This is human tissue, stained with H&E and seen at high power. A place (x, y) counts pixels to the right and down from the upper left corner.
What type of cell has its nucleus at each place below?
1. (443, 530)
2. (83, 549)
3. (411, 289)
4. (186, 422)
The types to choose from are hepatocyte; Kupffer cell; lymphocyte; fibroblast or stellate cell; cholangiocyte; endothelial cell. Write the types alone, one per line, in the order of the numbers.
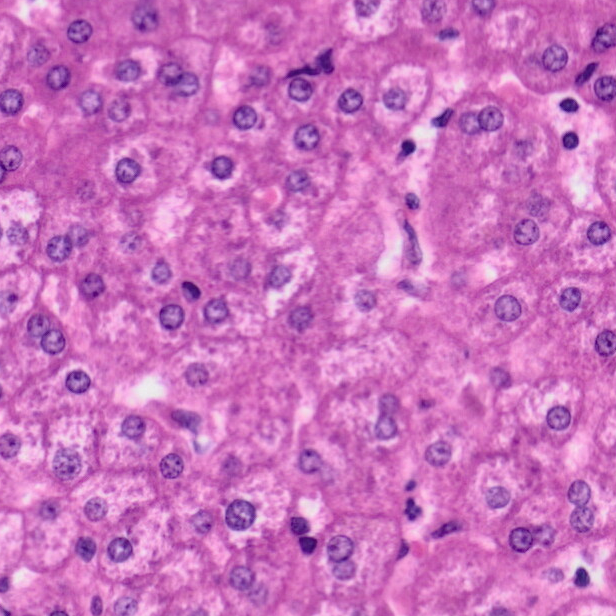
Kupffer cell
endothelial cell
Kupffer cell
Kupffer cell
